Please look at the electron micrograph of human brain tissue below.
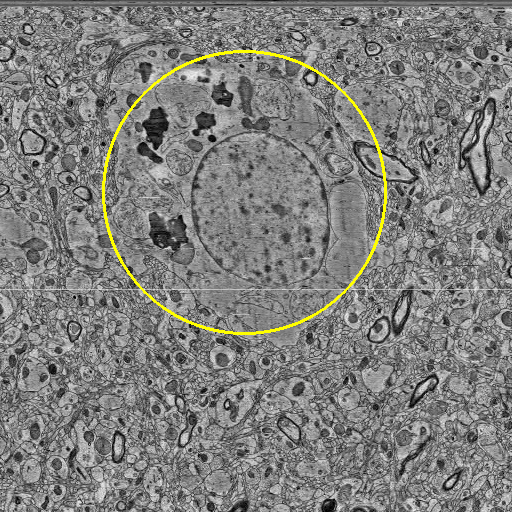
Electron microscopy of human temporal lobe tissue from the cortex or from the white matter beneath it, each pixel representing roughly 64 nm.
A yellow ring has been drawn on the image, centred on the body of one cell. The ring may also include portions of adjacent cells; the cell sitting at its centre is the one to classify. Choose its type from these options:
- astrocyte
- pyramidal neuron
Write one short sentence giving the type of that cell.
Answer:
The cell in the middle of the ring is an astrocyte.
